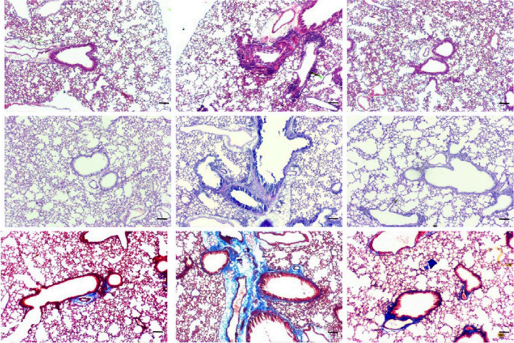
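Lung sections with airways and blood vessels set in alveolar parenchyma, shown in three staining rows. In the top row, stained pink and purple, the middle image shows dense purple cellular infiltration crowding around an airway, while the other two show thin-walled airways in open alveoli. In the middle row the sections are pale with blue-purple staining of the airway walls, strongest in the middle image. In the bottom row the parenchyma is red, and blue material surrounds the airways, most abundantly in the middle image.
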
